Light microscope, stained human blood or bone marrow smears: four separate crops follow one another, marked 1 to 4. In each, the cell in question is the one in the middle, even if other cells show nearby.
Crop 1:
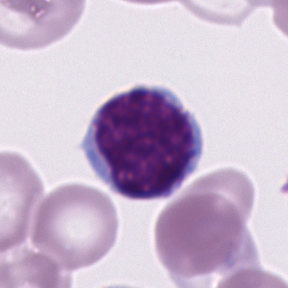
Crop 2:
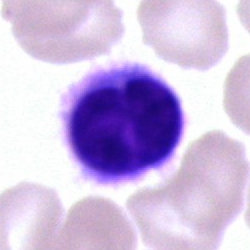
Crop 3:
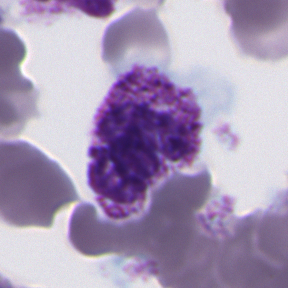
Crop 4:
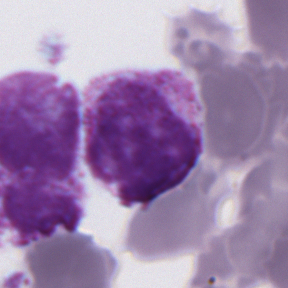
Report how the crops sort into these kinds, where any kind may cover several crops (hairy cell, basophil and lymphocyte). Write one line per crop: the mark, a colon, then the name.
1: lymphocyte
2: hairy cell
3: basophil
4: basophil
